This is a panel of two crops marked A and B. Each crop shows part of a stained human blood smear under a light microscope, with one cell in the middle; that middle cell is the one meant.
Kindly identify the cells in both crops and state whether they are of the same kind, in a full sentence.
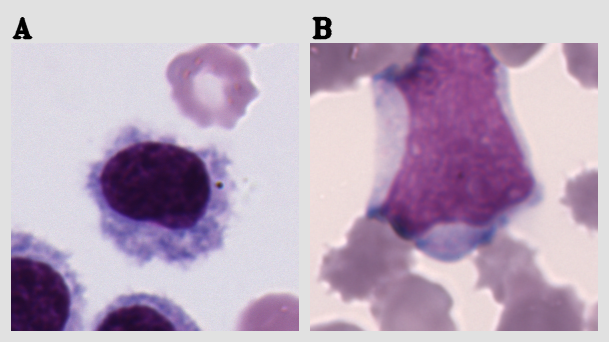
No, for crop A the cell is a hairy cell, and for crop B it is a myeloblast.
